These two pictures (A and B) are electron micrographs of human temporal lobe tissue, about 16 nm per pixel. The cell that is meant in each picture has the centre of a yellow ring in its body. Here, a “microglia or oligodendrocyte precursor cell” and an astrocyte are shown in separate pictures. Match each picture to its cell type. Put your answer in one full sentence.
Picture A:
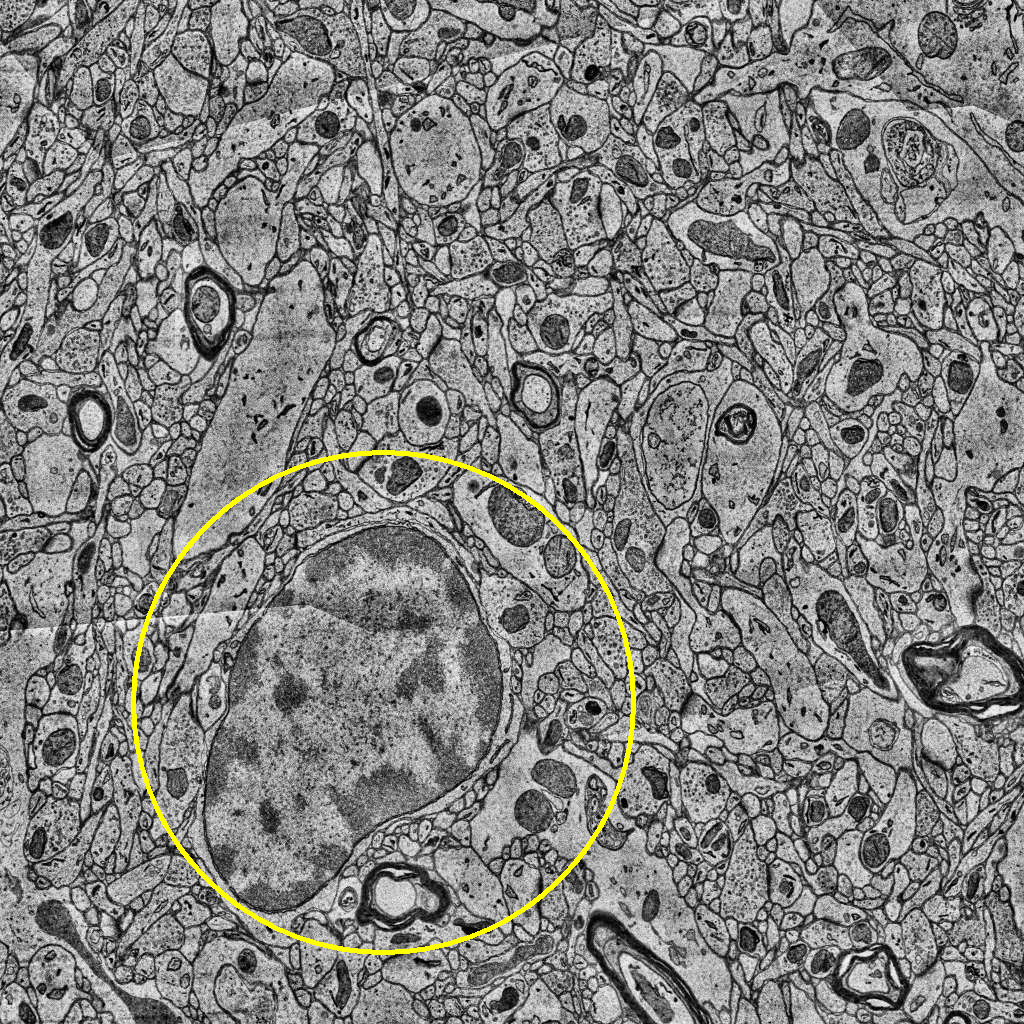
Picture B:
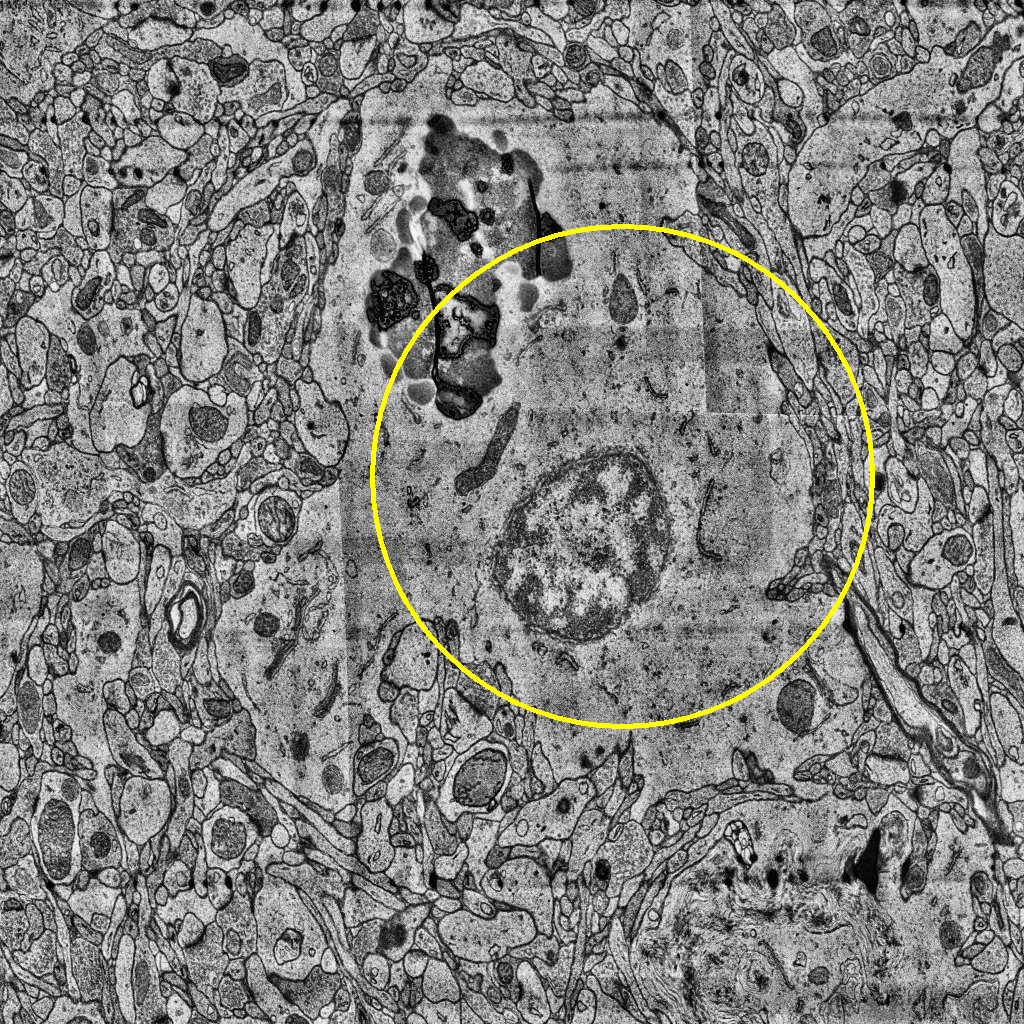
Picture A is of a “microglia or oligodendrocyte precursor cell”, and picture B is of an astrocyte.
